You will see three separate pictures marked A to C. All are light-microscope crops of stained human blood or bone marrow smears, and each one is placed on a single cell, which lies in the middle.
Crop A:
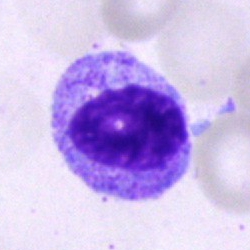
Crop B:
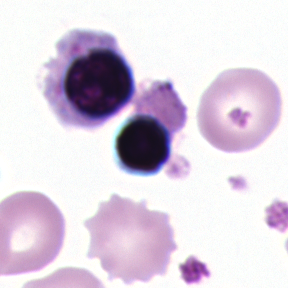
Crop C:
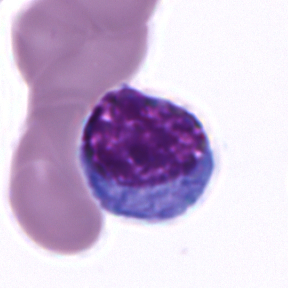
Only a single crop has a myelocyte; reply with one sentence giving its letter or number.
Only in crop A is a myelocyte shown.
